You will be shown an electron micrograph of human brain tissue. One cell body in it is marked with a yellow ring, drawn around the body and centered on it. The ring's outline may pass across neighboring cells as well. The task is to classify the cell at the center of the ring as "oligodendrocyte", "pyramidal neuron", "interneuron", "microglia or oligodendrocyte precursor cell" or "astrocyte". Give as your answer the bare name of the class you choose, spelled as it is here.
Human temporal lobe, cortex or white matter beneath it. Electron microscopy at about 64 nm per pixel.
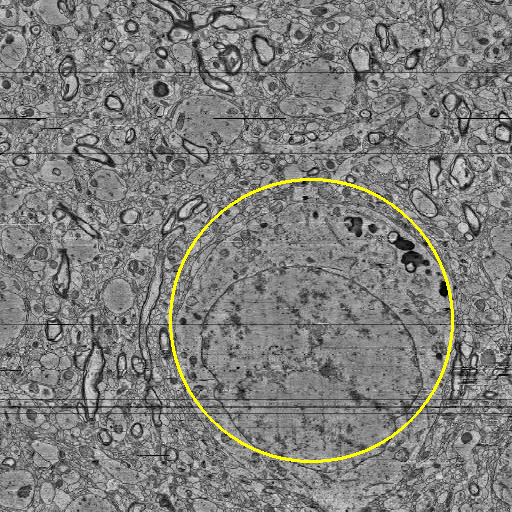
pyramidal neuron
